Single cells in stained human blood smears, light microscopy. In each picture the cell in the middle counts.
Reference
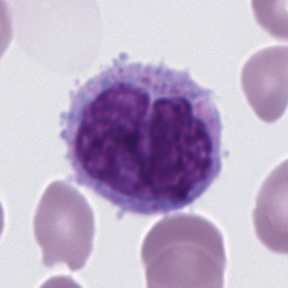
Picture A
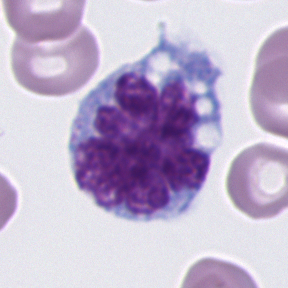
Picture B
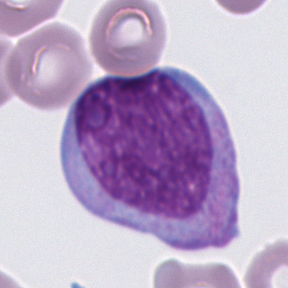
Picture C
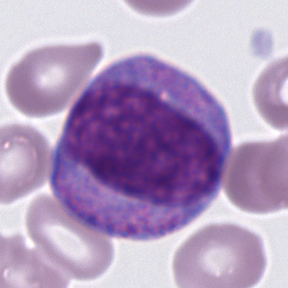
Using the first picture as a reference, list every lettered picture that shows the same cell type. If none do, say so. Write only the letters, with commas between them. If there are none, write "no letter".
A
